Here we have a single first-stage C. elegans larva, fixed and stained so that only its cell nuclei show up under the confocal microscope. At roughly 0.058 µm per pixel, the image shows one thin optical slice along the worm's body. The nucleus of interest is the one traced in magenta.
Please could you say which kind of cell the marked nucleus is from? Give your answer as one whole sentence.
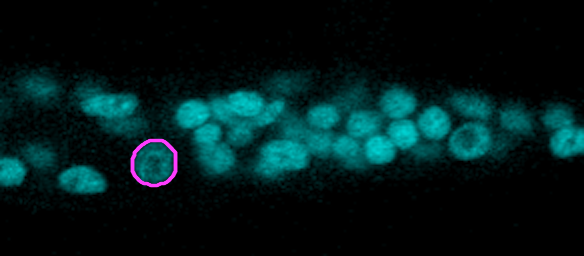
This nucleus is from an intestinal cell.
